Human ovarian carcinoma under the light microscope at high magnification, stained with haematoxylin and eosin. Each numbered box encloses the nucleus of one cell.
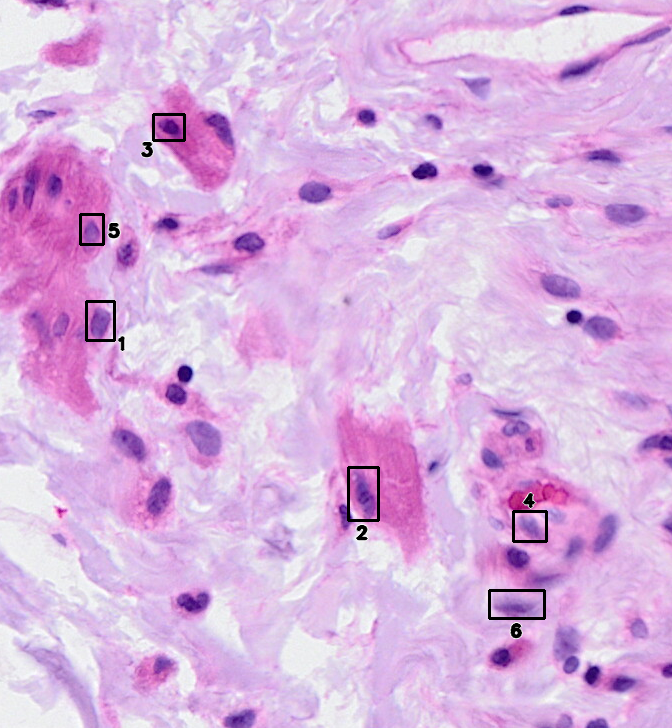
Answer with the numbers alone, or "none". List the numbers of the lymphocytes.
none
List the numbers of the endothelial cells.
4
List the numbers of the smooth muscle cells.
1, 2, 3, 5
